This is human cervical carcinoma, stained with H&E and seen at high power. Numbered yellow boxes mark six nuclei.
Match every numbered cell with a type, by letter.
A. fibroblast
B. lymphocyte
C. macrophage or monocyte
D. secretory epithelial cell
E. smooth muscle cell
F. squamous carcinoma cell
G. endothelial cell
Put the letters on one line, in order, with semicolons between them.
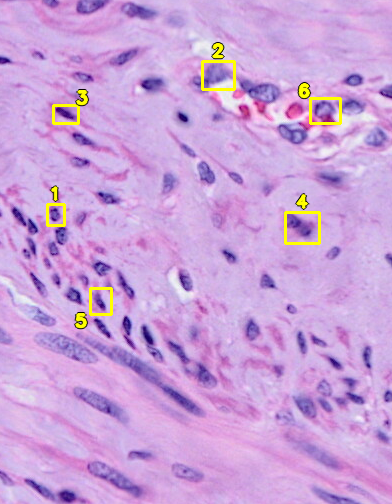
E; G; E; E; E; G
